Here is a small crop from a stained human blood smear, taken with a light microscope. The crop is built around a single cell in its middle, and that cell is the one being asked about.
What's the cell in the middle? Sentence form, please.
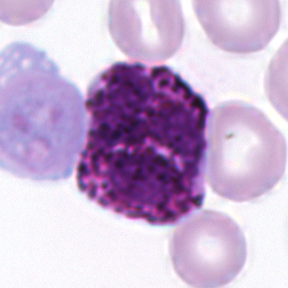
The identification for the central cell is a basophil.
